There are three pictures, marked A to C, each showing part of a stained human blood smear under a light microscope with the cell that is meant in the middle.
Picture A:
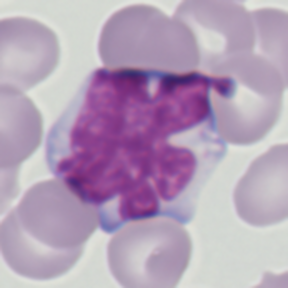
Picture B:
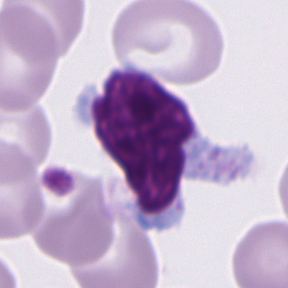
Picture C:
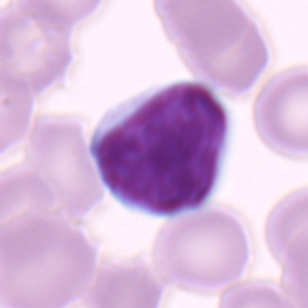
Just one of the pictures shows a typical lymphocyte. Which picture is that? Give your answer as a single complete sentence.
The picture with the typical lymphocyte is C.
